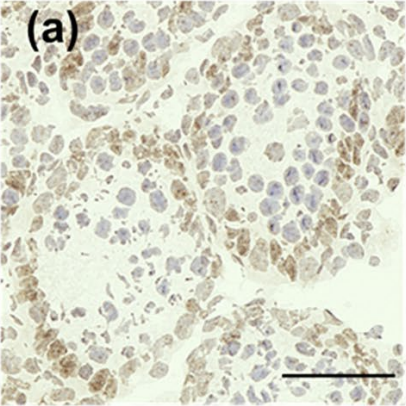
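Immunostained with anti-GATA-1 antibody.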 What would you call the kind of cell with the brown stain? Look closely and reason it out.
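Sertoli cells. Brown-stained cells lie along the outer edge of each round tubule. Blue, unstained round nuclei fill the inner part of the tubules.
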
